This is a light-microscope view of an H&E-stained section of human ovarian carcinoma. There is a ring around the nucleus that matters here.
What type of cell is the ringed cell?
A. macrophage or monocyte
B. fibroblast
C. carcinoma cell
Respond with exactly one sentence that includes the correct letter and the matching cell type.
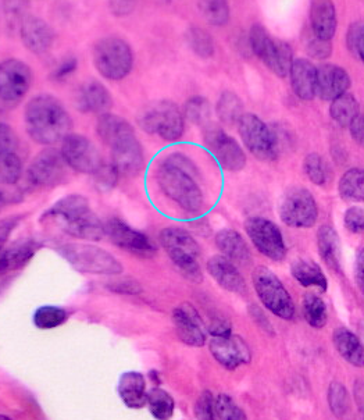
Exactly as option C gives it, the ringed cell is a carcinoma cell.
